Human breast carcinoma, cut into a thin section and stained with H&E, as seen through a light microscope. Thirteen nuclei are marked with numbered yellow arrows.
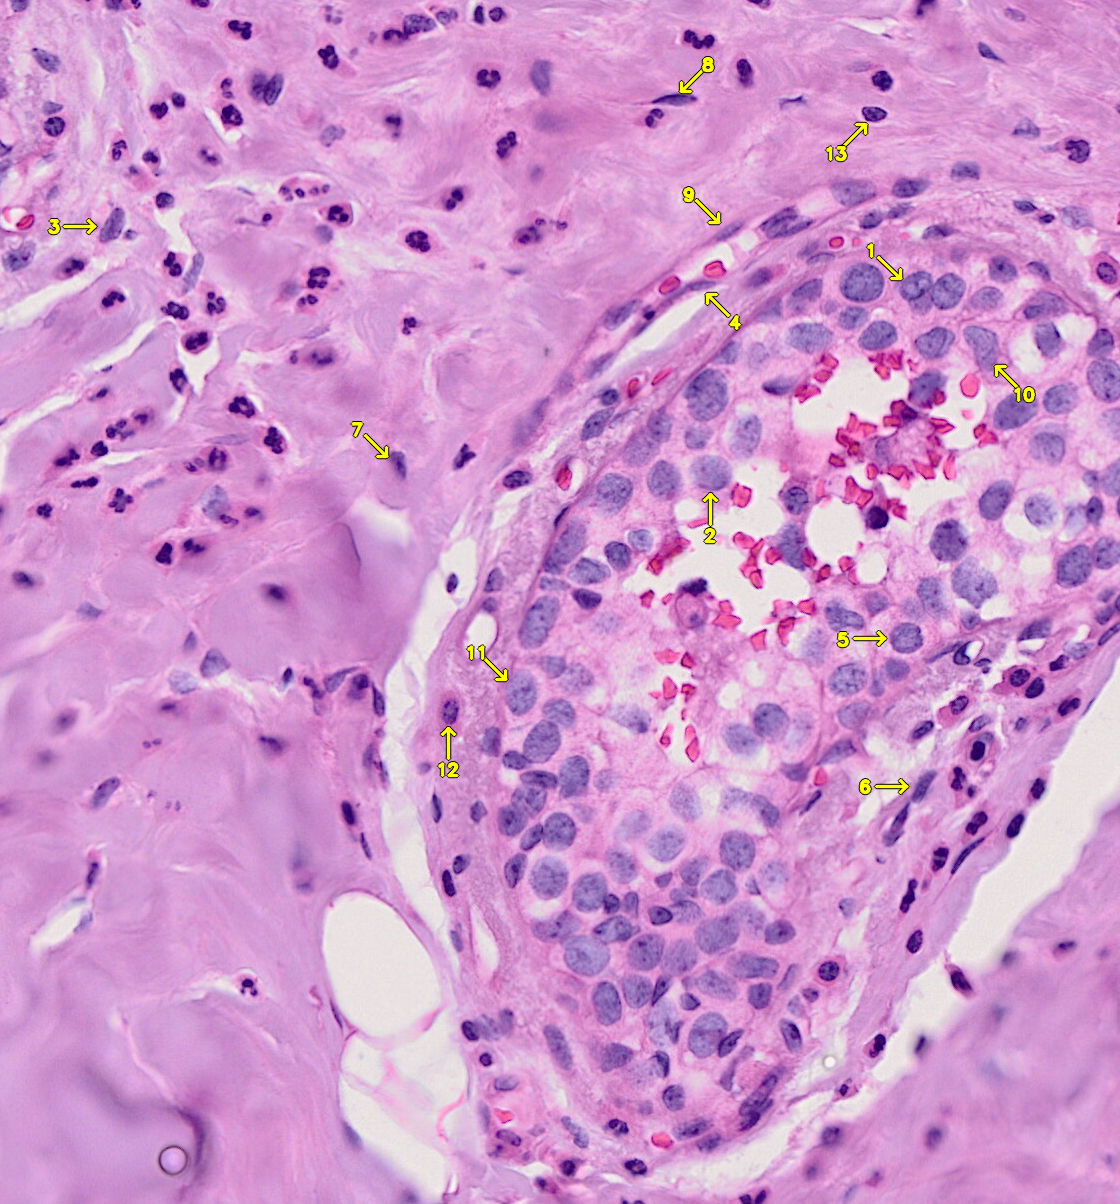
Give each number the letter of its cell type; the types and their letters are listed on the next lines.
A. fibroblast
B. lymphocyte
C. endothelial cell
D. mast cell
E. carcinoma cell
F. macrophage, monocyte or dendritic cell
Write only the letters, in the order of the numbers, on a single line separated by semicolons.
E; E; A; C; E; A; A; A; C; E; E; D; B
